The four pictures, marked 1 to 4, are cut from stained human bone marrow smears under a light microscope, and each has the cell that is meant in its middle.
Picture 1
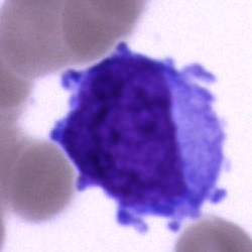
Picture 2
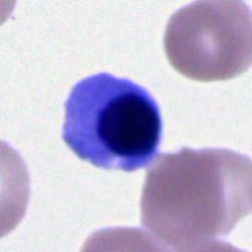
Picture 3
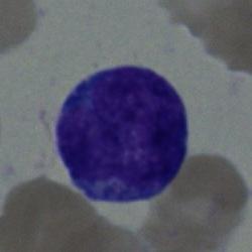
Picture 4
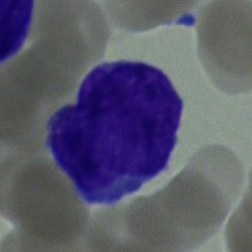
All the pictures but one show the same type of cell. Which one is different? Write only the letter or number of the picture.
2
